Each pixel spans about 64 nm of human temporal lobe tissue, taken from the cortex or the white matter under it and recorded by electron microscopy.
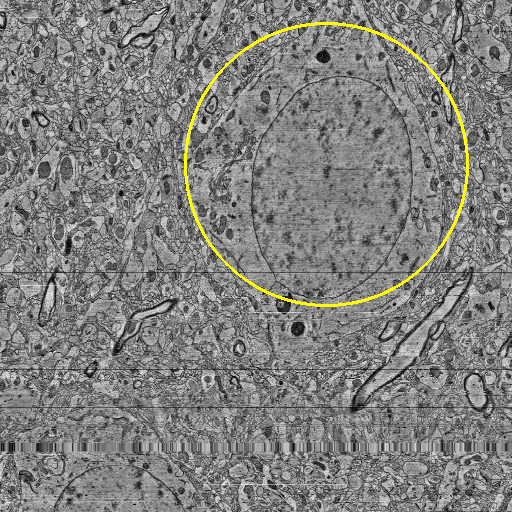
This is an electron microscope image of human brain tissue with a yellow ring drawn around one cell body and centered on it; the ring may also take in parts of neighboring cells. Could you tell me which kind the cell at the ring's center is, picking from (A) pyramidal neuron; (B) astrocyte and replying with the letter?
A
